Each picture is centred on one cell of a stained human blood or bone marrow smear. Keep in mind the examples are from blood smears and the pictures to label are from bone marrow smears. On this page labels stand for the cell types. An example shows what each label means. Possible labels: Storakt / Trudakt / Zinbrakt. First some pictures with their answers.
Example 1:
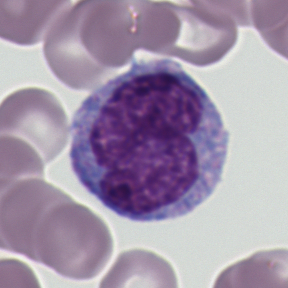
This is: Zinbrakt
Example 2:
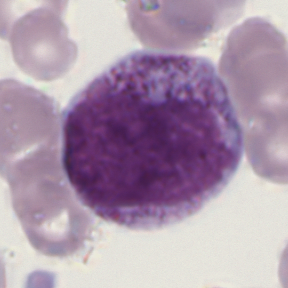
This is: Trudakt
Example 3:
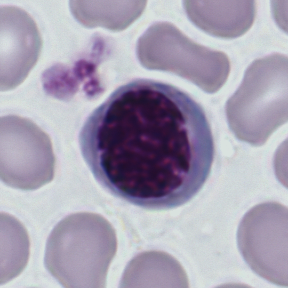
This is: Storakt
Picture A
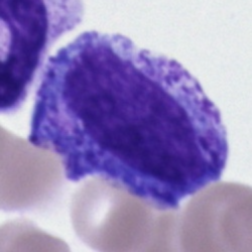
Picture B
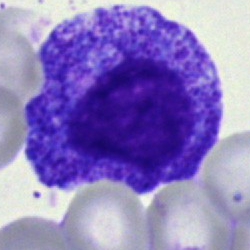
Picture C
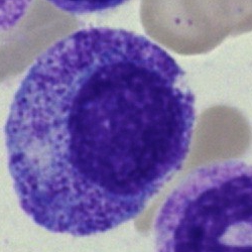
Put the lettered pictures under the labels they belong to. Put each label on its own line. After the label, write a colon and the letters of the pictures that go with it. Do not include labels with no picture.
Trudakt: A, B, C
